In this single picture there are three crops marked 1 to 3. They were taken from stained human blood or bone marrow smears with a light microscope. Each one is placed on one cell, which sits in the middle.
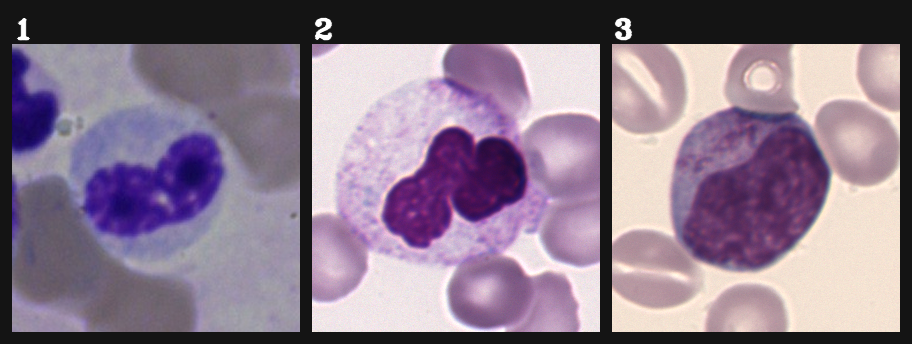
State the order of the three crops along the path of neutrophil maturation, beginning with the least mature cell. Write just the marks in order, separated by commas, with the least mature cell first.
3, 1, 2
